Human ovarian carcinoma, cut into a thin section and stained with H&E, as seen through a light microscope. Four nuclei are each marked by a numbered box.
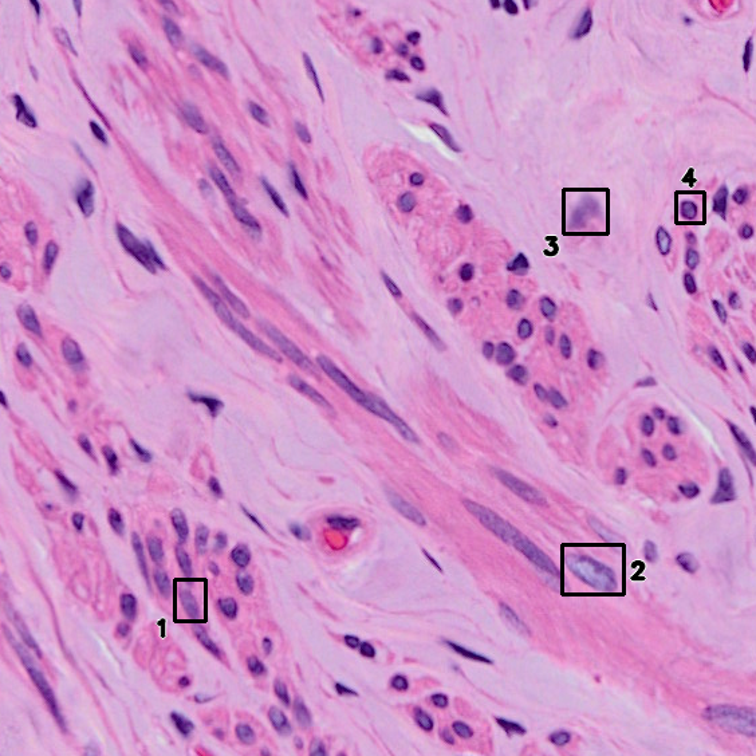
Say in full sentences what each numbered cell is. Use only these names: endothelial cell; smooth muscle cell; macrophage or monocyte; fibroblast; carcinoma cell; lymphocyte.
Cells 1, 2 and 4 are smooth muscle cells. Cell 3 is a fibroblast.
